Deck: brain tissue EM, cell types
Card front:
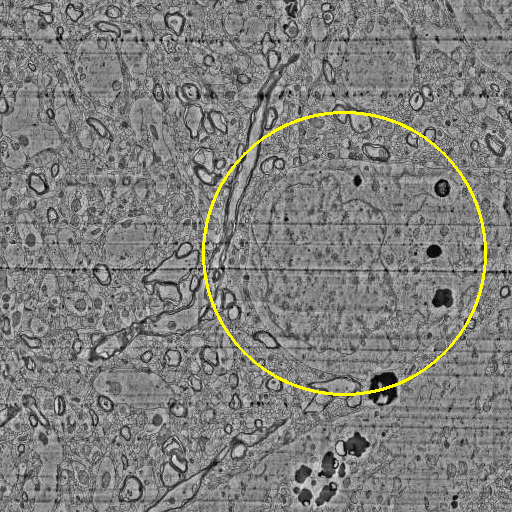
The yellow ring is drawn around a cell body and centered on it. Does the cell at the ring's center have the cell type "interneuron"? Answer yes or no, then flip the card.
yes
